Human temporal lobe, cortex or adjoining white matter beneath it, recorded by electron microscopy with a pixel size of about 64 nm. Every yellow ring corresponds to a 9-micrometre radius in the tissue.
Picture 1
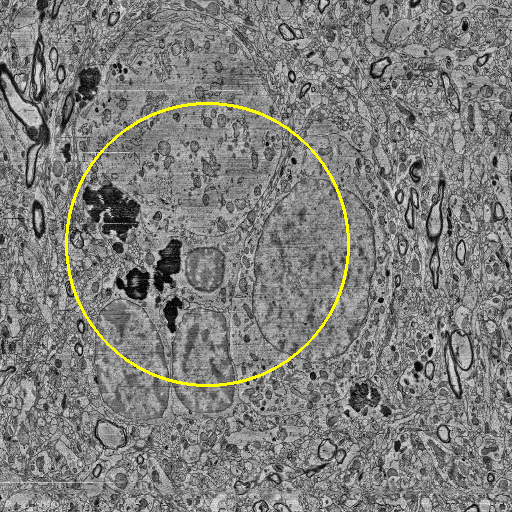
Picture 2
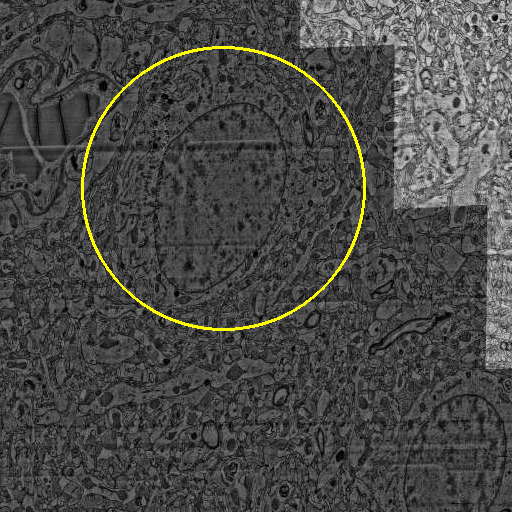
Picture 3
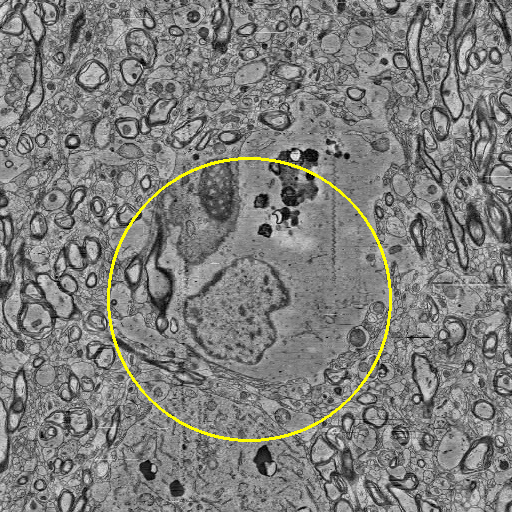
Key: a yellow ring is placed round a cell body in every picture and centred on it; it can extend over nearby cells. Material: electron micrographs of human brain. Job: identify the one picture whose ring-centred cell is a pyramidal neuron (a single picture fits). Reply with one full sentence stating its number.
Picture 2 is the one with the sought cell at the centre of its ring.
